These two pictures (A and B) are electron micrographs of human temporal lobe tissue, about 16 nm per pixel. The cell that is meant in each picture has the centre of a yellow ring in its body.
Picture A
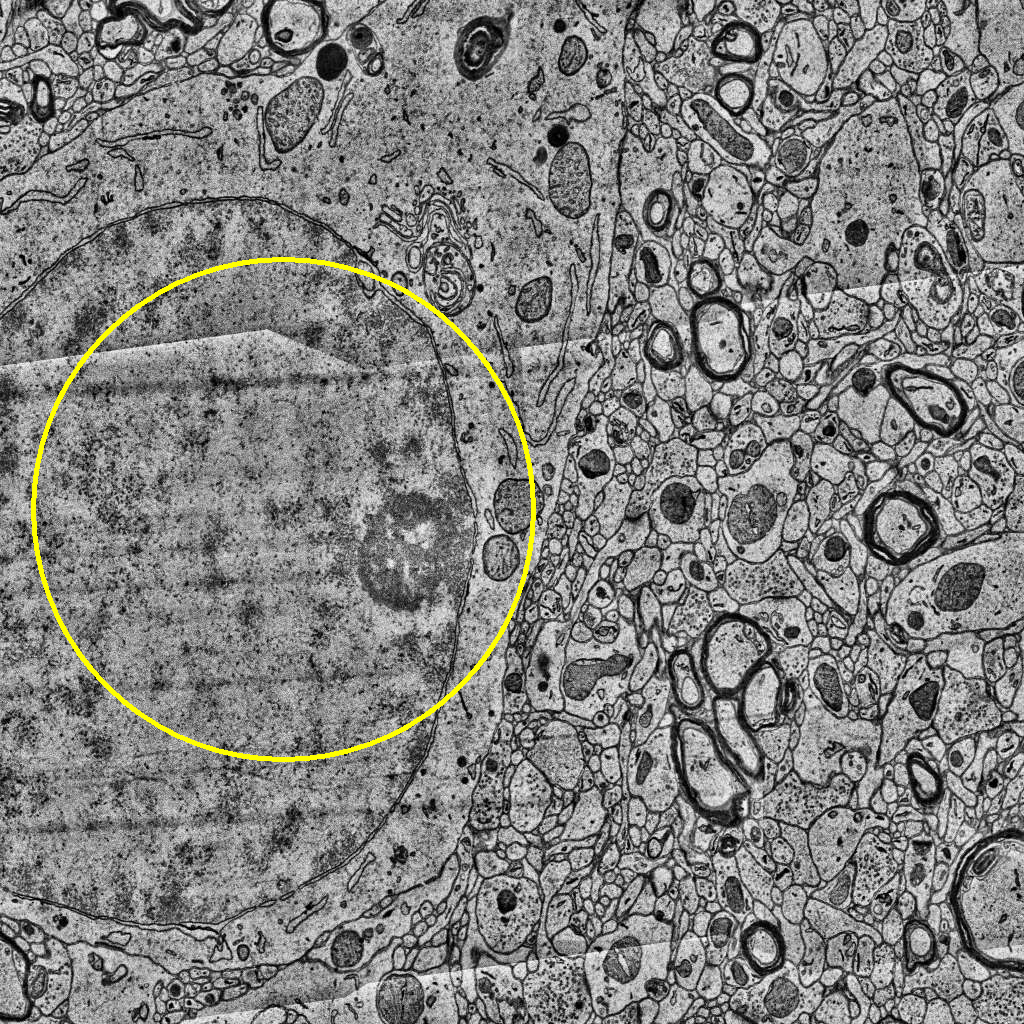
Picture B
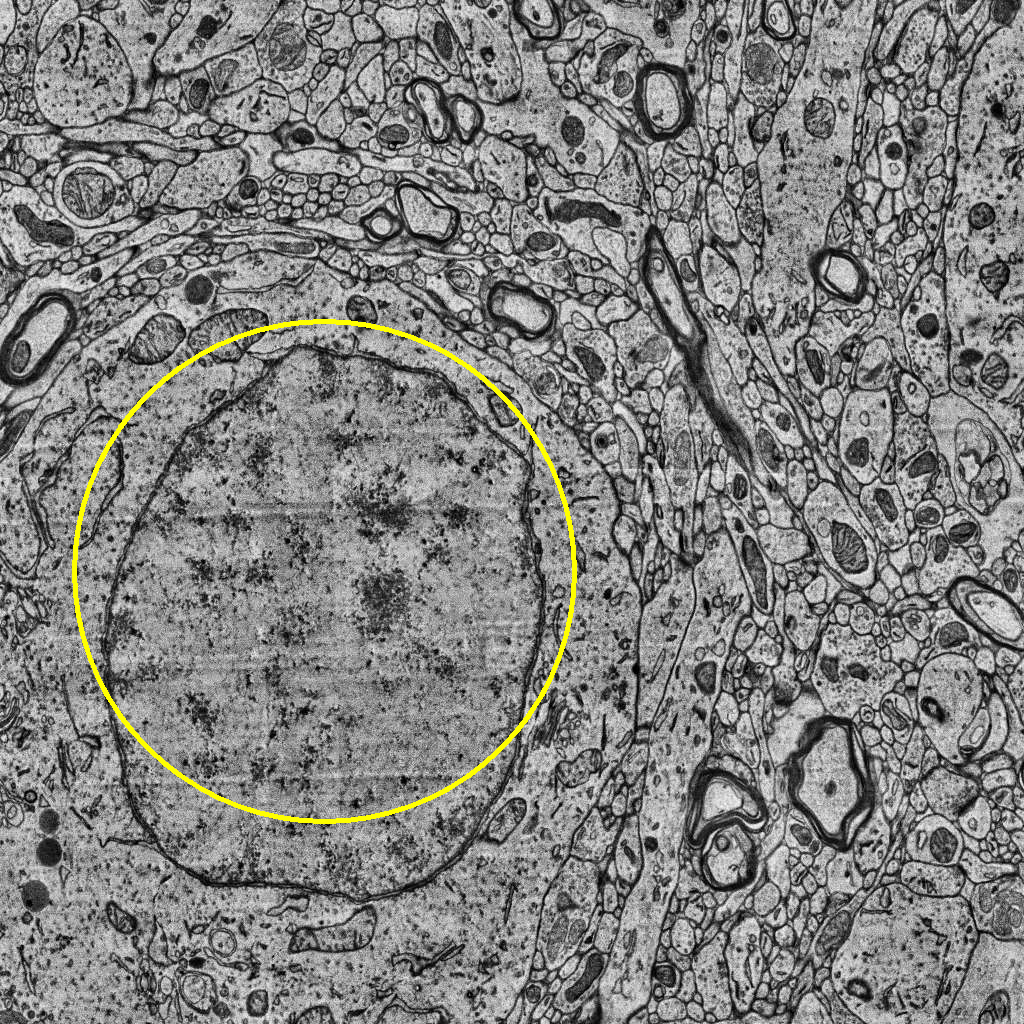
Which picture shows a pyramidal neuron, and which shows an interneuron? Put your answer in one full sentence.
Picture B shows a pyramidal neuron, while picture A shows an interneuron.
